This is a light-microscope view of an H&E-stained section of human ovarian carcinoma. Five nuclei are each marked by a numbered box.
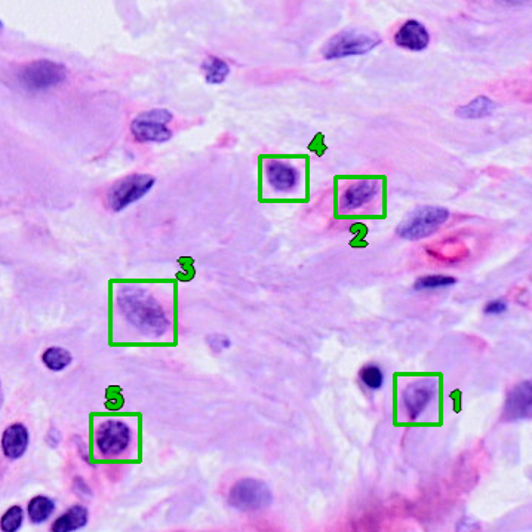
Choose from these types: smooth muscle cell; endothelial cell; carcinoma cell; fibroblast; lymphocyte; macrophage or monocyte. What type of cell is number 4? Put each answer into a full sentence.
Numbered cell 4 is a lymphocyte in this tissue section.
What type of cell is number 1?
The correct answer for cell 1 is a fibroblast.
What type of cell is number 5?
It is as a lymphocyte that the cell numbered 5 is identified.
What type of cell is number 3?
Looking at the numbered marks, cell 3 is a fibroblast.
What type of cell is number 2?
Cell 2, among those numbered, is an endothelial cell.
